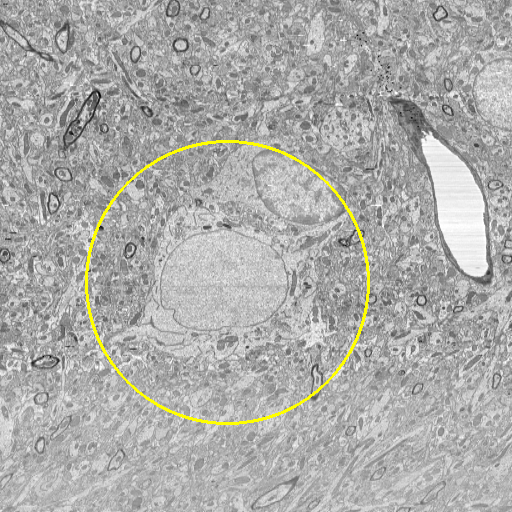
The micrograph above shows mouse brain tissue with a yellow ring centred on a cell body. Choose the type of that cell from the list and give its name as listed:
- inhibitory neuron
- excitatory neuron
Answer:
excitatory neuron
